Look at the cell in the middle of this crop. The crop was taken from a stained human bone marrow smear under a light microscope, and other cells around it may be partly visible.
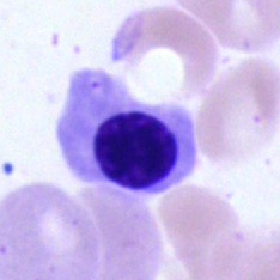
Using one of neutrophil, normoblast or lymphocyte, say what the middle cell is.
normoblast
